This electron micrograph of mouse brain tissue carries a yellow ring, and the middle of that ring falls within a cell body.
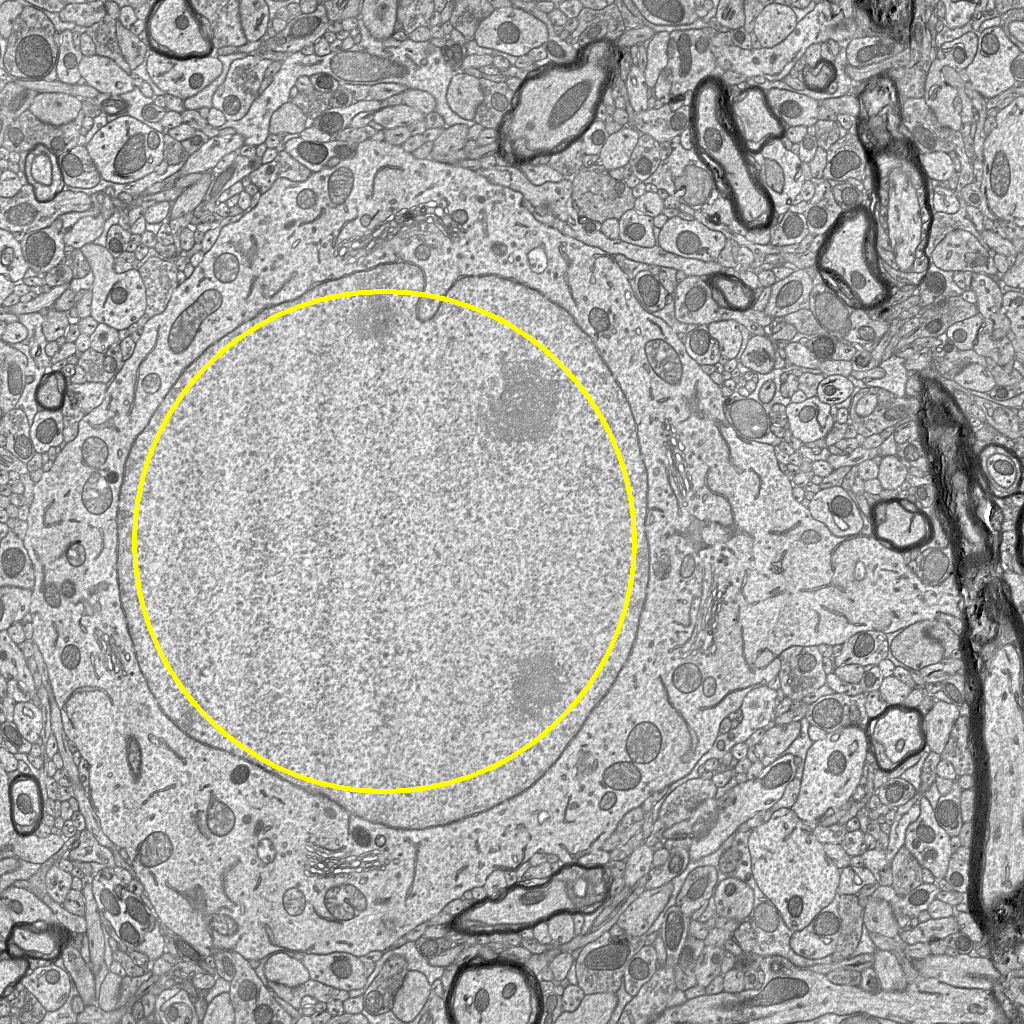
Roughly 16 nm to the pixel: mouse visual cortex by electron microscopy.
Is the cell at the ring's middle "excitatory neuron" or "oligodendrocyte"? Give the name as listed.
excitatory neuron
